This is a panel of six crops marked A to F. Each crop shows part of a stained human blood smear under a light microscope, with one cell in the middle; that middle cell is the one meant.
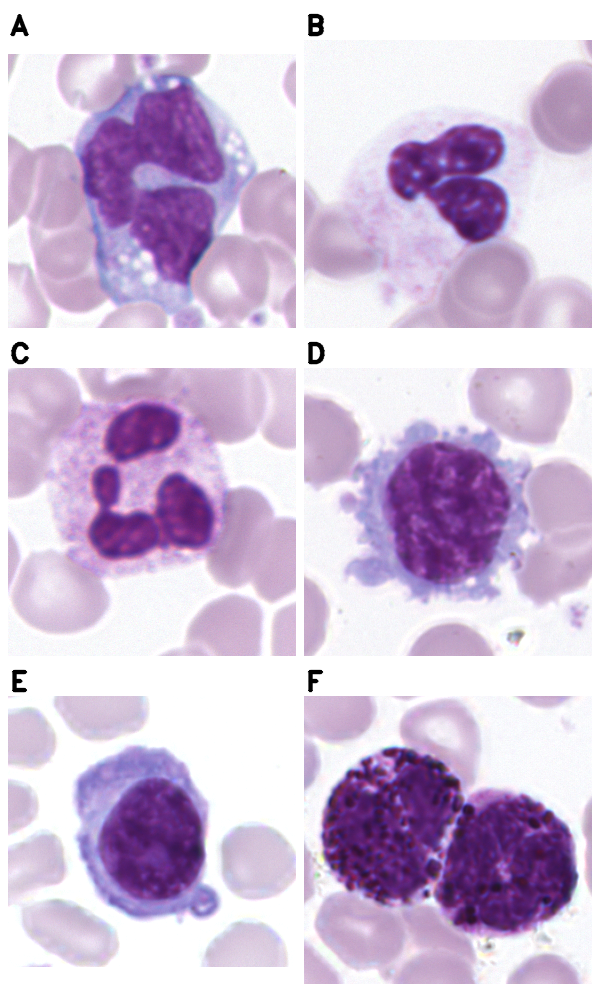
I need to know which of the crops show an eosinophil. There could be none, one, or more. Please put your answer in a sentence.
Not one crop among those given holds an eosinophil.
